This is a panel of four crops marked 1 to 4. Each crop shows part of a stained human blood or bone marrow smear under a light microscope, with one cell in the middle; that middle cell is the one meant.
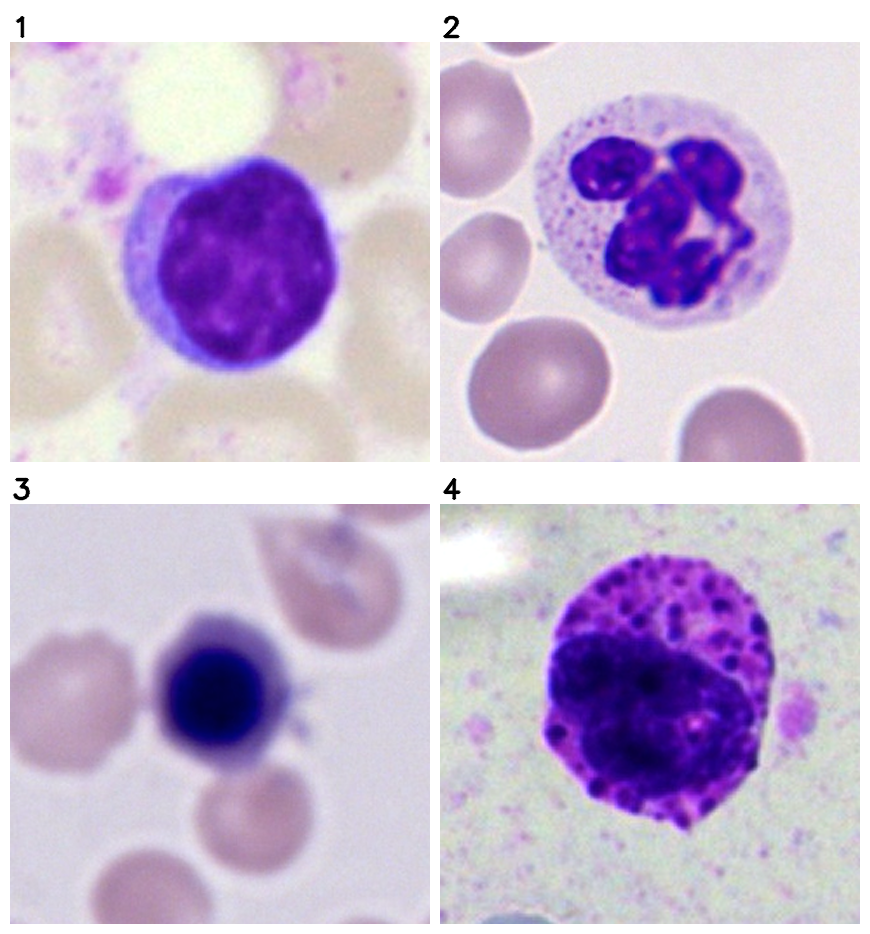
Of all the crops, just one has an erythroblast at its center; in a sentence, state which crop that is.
Of the cells presented, the one in crop 3 is an erythroblast.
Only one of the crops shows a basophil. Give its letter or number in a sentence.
Crop 4 is the crop whose central cell is a basophil.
